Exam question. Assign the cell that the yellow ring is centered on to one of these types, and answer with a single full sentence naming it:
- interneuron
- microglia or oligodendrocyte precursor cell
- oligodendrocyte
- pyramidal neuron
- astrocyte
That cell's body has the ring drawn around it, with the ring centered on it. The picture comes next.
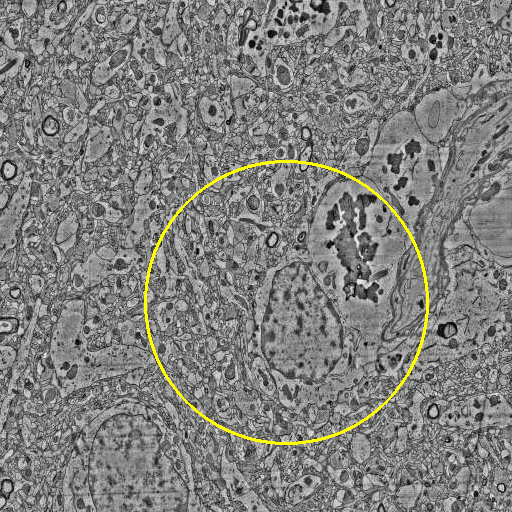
In the micrograph, the cell the yellow ring is centered on is a microglial cell or oligodendrocyte precursor cell.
